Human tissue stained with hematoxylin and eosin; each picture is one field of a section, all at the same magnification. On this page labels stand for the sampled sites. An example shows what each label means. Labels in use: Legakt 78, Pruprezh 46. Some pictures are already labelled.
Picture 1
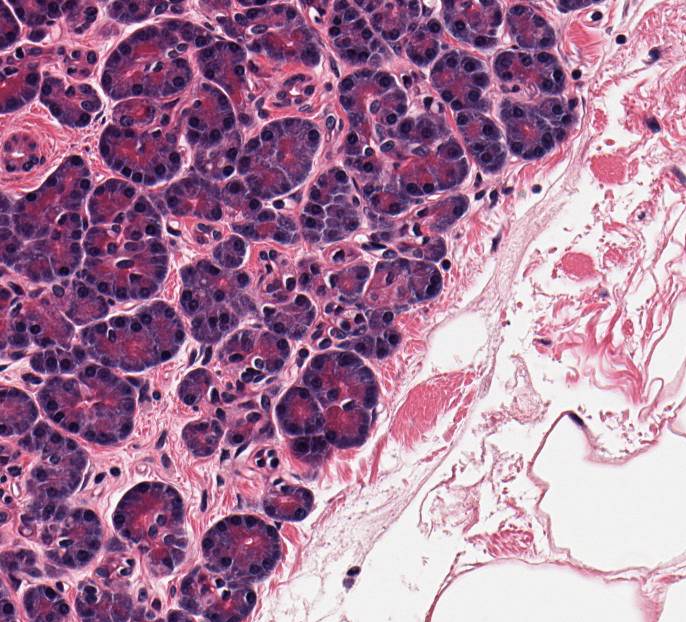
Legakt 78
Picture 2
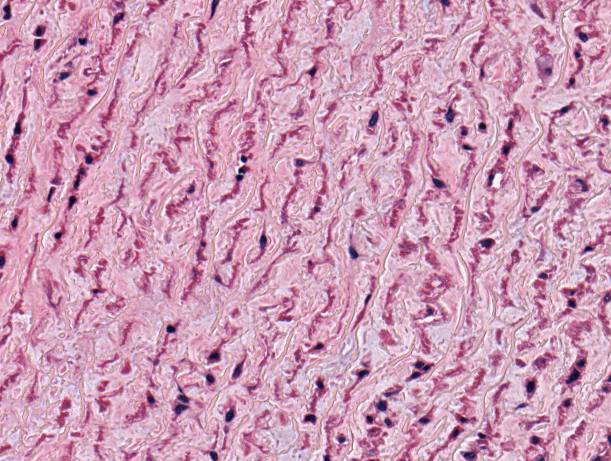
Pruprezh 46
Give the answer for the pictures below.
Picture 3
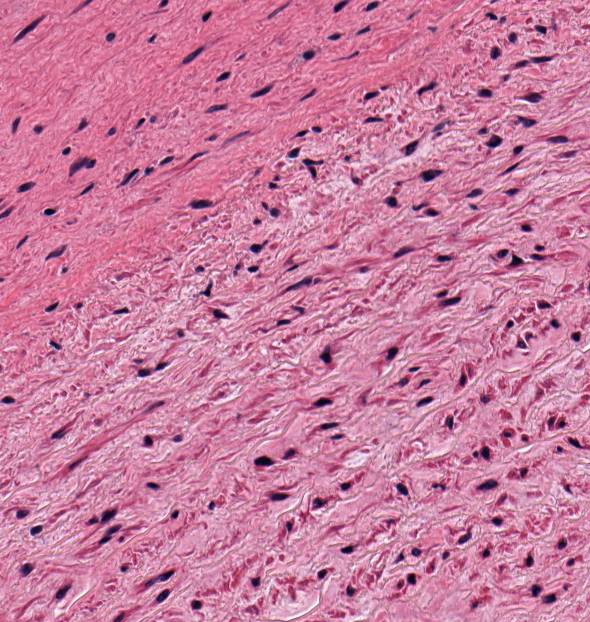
Pruprezh 46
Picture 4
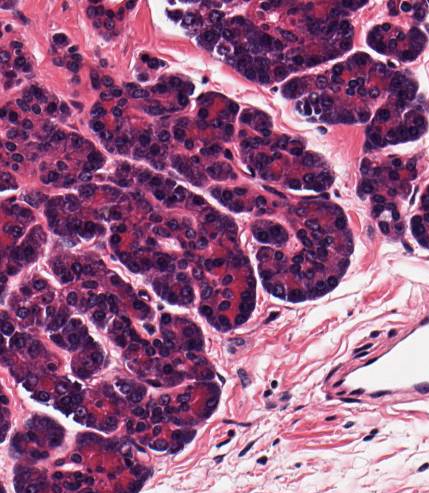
Legakt 78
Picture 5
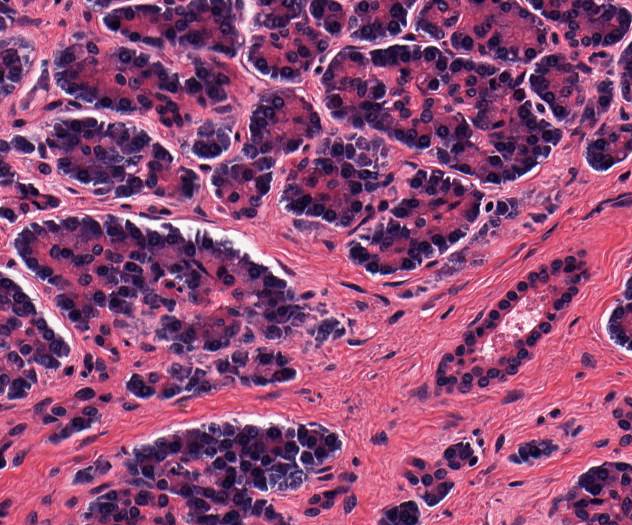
Legakt 78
